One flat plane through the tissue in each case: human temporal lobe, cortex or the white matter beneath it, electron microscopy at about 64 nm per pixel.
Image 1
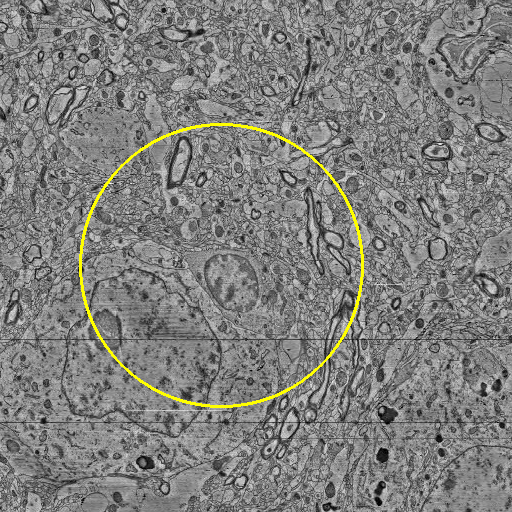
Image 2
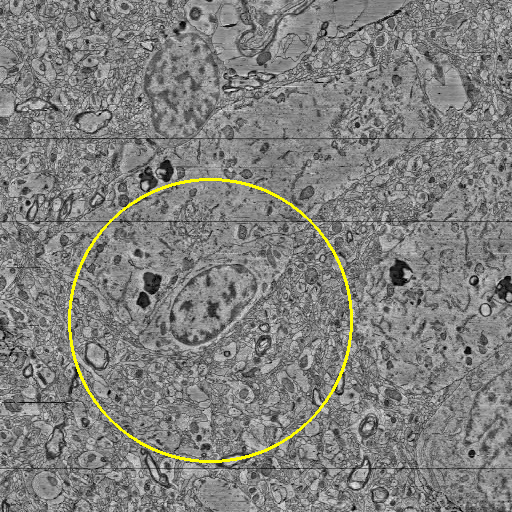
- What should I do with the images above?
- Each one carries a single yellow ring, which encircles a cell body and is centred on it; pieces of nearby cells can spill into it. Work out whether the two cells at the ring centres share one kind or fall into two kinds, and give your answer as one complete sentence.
The ring-centre cells of Image 1 and Image 2 fall into two kinds.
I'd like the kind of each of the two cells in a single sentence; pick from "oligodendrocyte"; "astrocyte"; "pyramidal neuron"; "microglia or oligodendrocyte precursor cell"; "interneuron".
The first ring marks an oligodendrocyte, and the second ring marks a microglial cell or oligodendrocyte precursor cell.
